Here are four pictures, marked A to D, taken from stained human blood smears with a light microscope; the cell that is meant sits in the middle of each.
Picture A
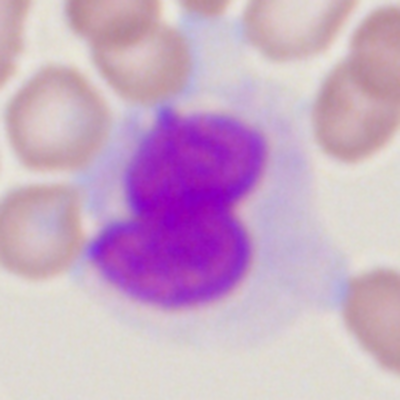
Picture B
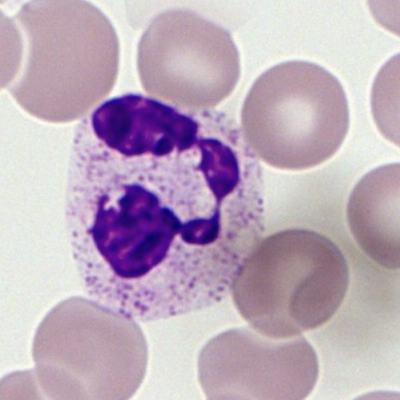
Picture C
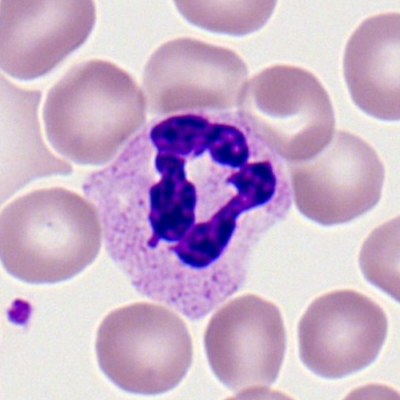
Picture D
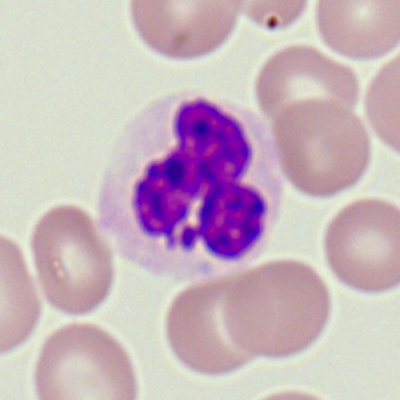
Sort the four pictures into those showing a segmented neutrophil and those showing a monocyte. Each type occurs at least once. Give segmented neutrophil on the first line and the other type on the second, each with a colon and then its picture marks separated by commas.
segmented neutrophil: B, C, D
monocyte: A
